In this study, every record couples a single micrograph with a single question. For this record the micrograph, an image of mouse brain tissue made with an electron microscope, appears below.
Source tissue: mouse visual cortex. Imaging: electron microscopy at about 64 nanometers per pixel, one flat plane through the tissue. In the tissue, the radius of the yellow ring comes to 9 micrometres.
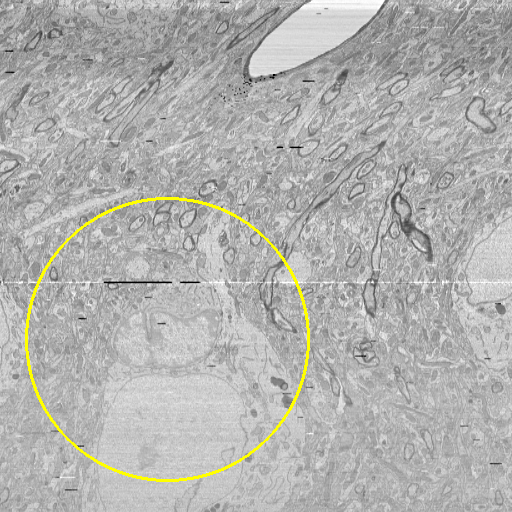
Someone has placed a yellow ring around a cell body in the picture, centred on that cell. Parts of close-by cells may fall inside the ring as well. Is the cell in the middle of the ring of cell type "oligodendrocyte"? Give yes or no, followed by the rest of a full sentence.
Yes, the cell centred in the ring shown in the picture does have that cell type.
